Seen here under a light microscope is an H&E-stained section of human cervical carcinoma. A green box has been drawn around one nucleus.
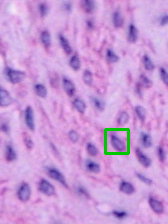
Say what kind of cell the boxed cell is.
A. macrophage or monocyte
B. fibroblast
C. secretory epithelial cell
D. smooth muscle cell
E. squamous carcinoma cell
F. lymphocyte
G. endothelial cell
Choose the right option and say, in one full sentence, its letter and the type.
On this slide, the boxed cell is a smooth muscle cell, so option D is right.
